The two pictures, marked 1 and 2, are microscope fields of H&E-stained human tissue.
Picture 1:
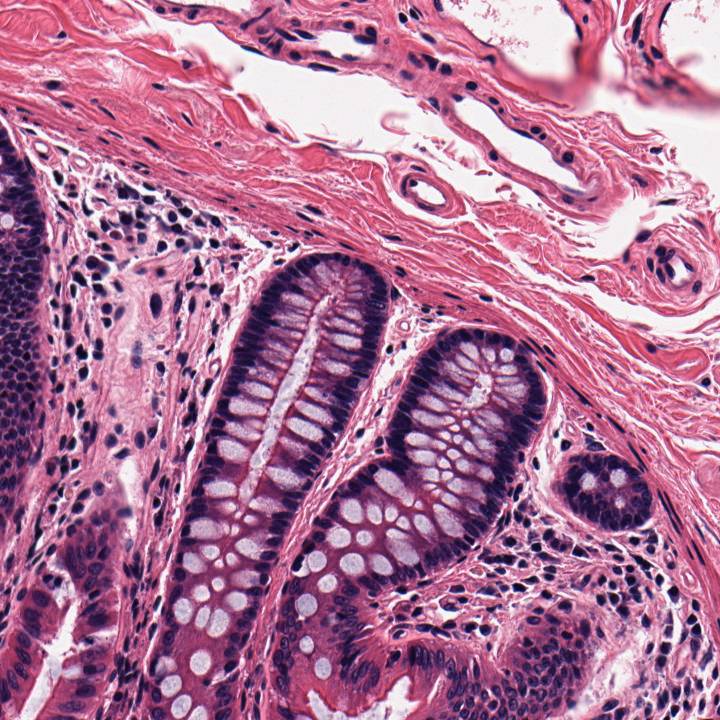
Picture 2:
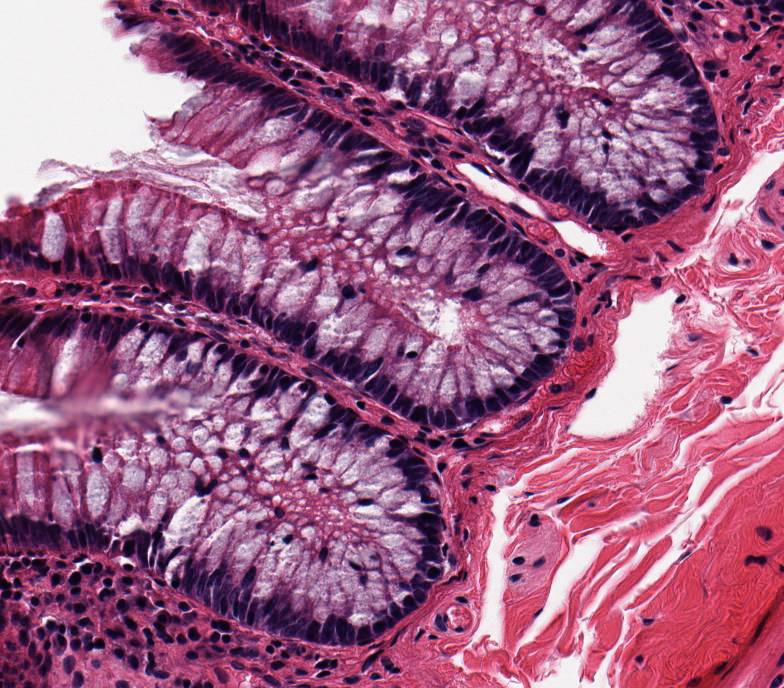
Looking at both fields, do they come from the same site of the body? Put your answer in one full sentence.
Yes; both pictures come from the transverse colon.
